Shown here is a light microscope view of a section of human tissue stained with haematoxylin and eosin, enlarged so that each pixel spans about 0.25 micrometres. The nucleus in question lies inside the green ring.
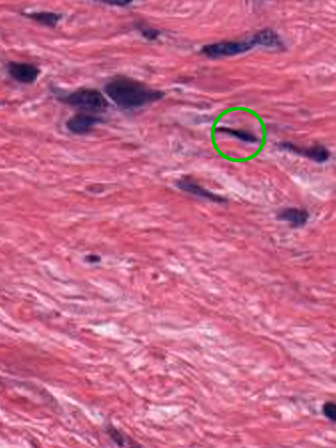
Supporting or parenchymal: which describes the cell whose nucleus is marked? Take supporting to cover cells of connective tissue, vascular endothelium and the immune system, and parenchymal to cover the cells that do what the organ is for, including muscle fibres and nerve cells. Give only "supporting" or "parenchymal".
supporting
